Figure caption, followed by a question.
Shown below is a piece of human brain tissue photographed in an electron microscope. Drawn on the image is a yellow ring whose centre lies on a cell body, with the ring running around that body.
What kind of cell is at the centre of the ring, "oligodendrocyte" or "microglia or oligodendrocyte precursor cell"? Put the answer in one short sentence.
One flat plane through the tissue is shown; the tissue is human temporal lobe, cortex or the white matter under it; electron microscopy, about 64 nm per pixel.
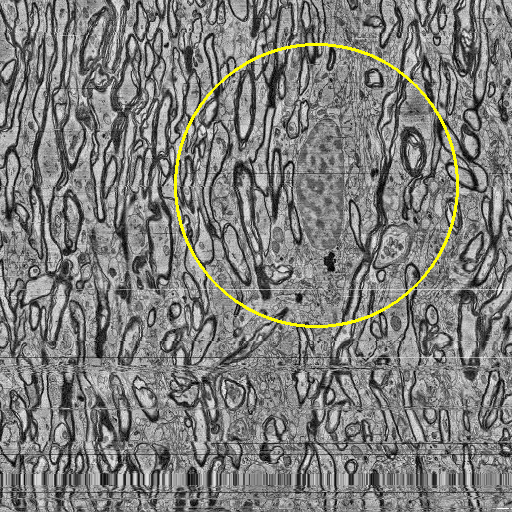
The ring marks the cell body of a microglial cell or oligodendrocyte precursor cell.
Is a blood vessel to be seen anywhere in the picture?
No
